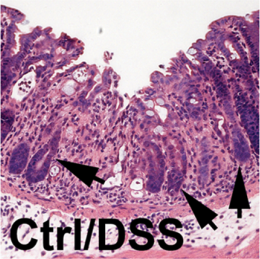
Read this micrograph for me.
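This colonic mucosa still keeps a surface epithelium and recognisable crypts, but the crypts are irregular, uneven in length and partly distorted. Between and beneath the crypts the lamina propria holds more nuclei than usual. The arrows point to crypts near the base of the mucosa that look disrupted. This picture fits moderate crypt damage without the surface loss of more severe injury.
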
